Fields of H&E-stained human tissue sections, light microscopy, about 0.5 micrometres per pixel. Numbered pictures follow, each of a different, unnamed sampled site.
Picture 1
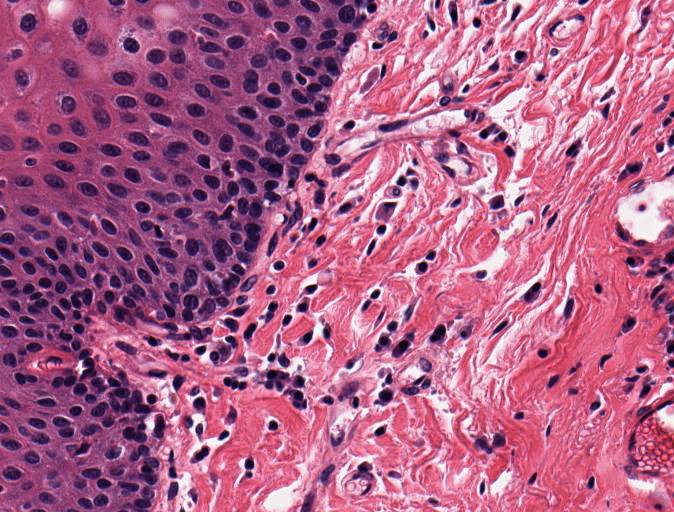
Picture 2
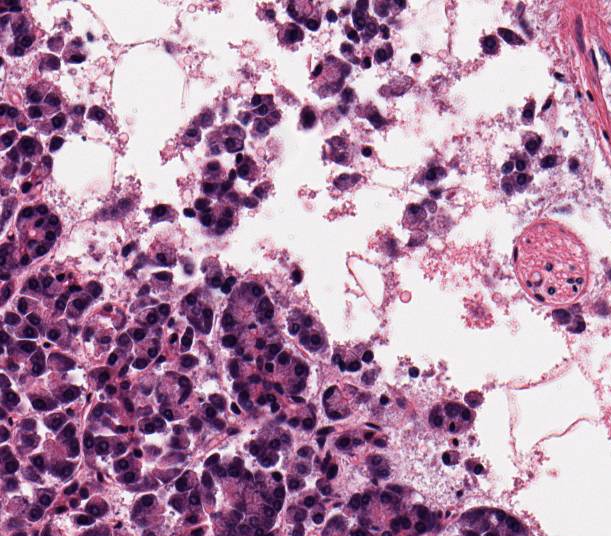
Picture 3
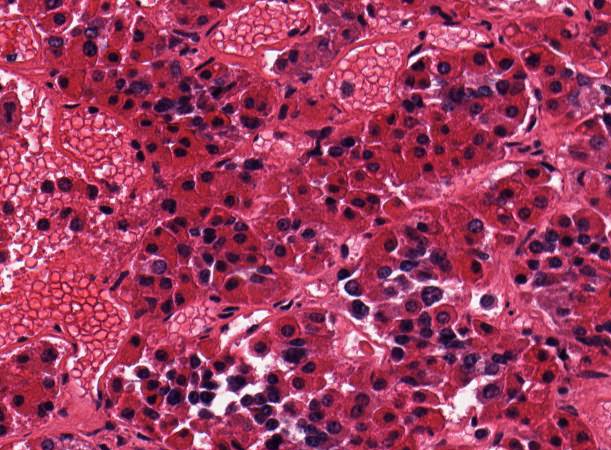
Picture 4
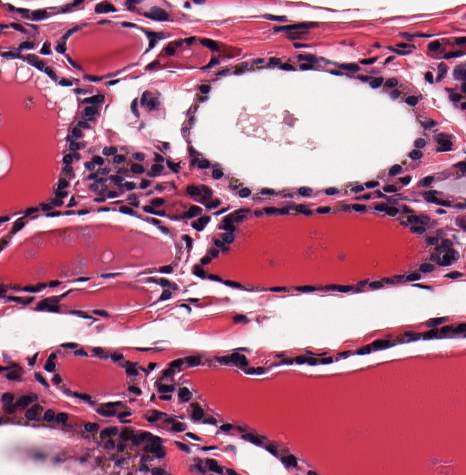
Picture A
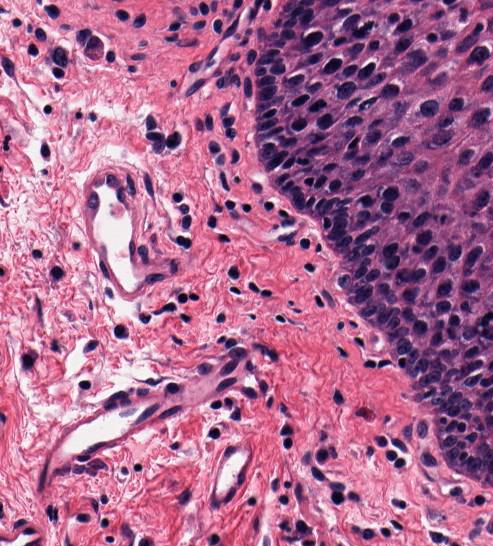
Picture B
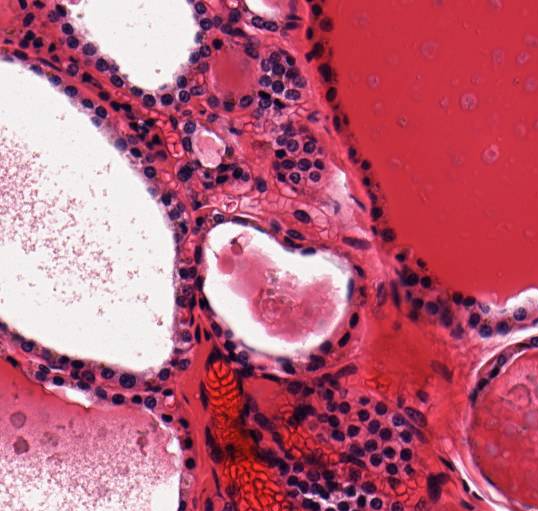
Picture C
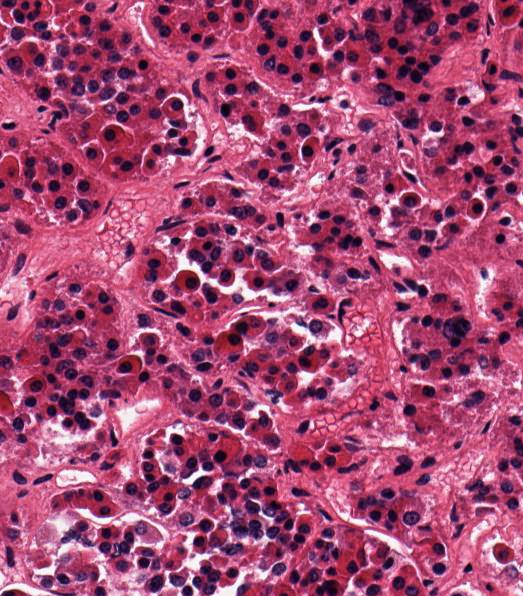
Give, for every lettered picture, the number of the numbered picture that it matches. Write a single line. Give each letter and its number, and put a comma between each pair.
A 1, B 4, C 3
